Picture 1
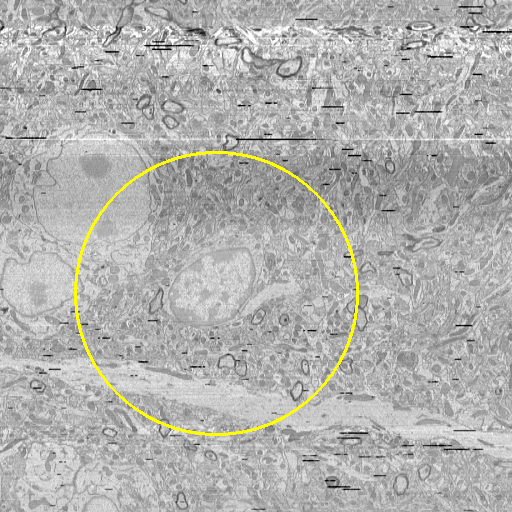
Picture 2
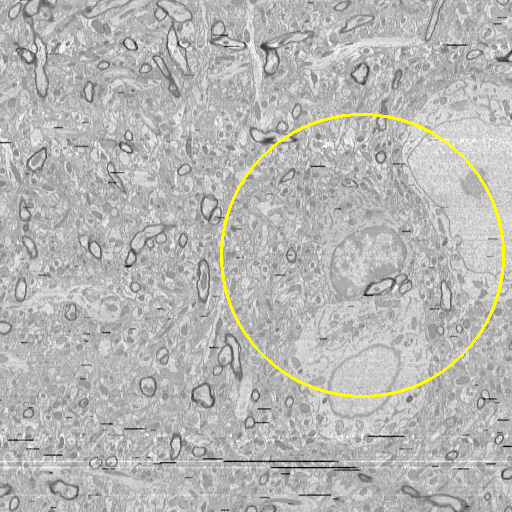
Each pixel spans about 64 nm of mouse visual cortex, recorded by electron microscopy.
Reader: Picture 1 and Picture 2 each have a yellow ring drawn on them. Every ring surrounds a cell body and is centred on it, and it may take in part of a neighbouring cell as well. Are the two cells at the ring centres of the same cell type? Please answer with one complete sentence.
Yes, both cells are of the same cell type.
